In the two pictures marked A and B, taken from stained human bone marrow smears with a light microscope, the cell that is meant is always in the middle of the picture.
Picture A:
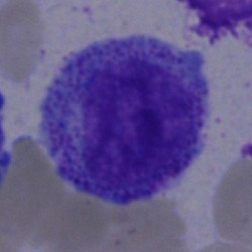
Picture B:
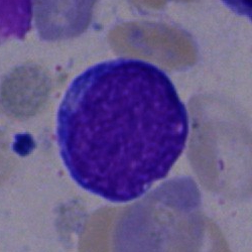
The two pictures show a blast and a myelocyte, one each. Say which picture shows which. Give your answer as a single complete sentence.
Picture A shows a myelocyte and picture B shows a blast.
